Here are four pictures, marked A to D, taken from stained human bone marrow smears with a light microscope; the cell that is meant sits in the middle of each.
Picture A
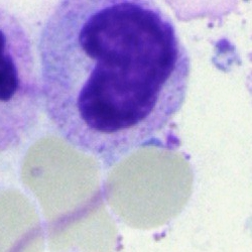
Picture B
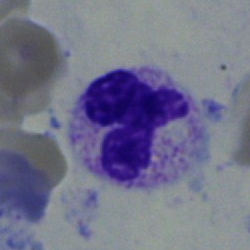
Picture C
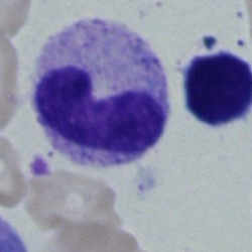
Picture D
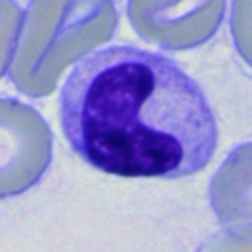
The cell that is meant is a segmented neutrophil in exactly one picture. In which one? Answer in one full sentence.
The cell in picture B is the segmented neutrophil.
